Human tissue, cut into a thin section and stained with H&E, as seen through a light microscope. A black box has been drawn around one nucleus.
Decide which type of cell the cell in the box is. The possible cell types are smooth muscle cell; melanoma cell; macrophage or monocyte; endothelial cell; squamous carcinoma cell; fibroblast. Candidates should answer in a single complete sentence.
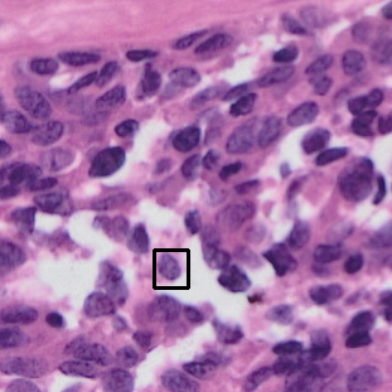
It is a macrophage or monocyte that the cell in the box represents.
